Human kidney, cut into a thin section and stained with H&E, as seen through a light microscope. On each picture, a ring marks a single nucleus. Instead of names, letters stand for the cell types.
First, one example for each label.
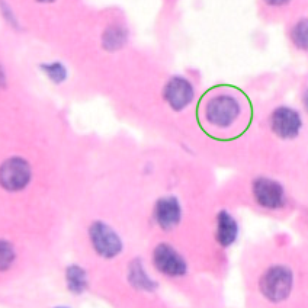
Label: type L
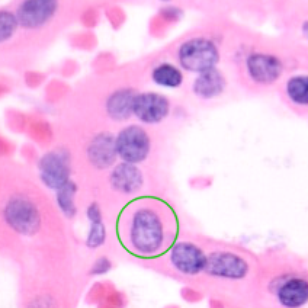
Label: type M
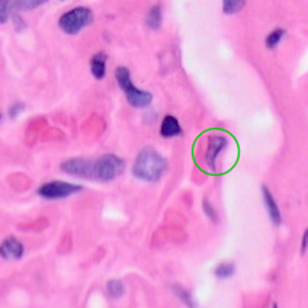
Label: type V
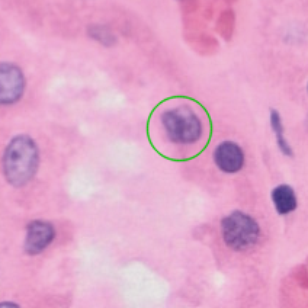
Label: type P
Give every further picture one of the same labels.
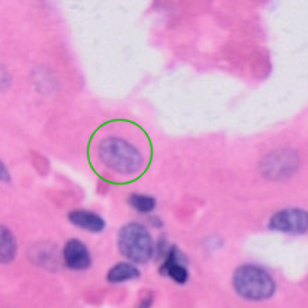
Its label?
type P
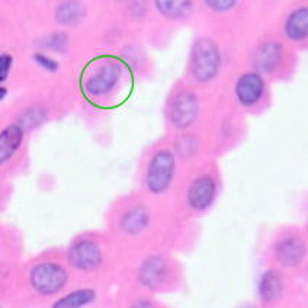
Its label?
type L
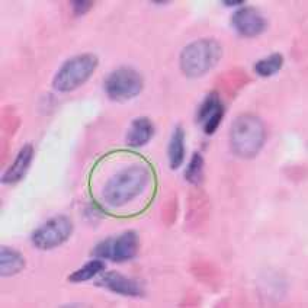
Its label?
type M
